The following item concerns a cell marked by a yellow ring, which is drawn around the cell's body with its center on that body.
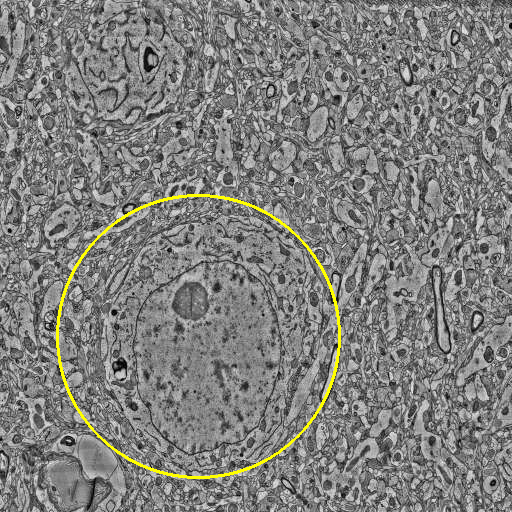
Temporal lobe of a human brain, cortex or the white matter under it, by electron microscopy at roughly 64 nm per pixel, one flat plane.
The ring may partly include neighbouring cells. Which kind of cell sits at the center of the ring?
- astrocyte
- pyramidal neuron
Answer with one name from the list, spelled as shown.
pyramidal neuron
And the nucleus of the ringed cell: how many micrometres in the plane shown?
Approximately 13 x 10 micrometres in this plane.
